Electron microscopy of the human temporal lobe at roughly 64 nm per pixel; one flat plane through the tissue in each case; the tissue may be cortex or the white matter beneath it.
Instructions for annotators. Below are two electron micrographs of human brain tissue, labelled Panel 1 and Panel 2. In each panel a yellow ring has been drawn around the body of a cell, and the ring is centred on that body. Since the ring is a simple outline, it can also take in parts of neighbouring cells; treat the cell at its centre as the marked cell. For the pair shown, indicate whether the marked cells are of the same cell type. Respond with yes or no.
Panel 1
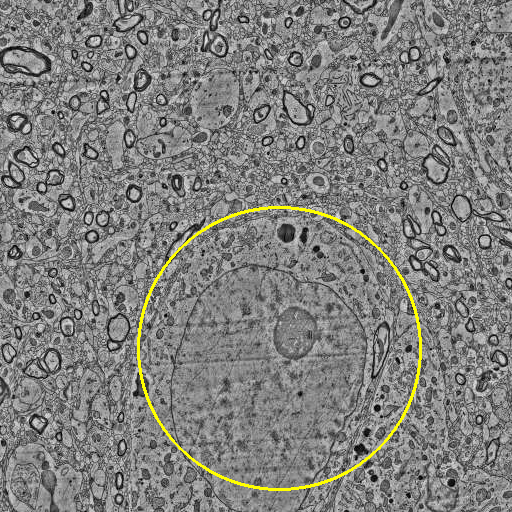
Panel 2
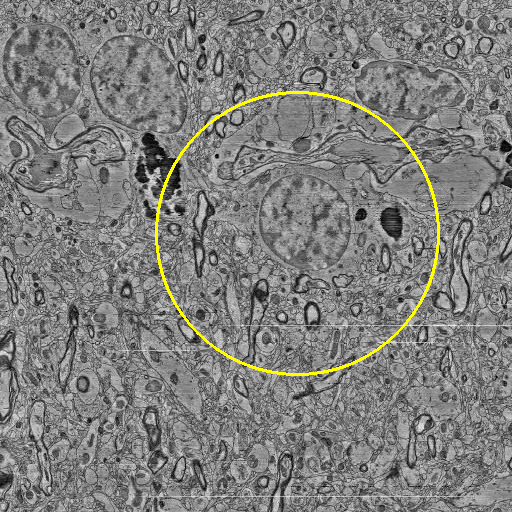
no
